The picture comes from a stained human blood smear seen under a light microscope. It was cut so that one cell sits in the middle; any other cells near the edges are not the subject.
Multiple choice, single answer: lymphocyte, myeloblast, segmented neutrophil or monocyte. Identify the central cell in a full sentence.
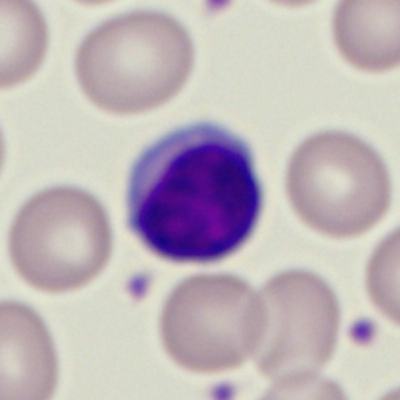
In this crop, the cell at the very middle is a lymphocyte.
